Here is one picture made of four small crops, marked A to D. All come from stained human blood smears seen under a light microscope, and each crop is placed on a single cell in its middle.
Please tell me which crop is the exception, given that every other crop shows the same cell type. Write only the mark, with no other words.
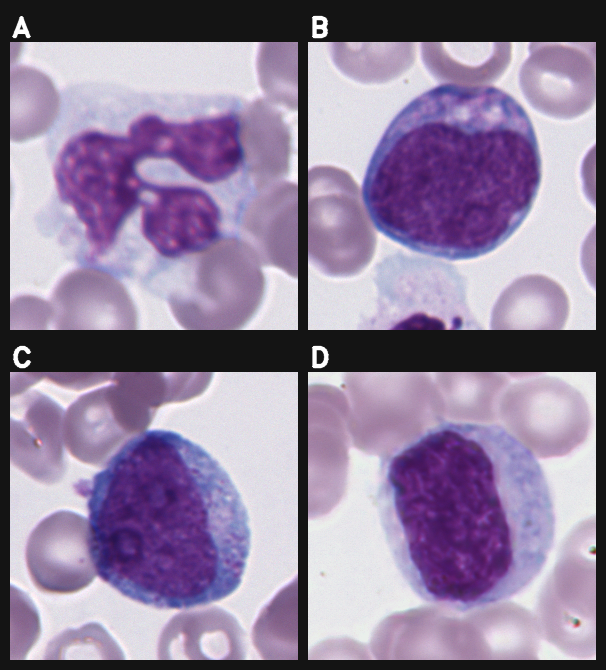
A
